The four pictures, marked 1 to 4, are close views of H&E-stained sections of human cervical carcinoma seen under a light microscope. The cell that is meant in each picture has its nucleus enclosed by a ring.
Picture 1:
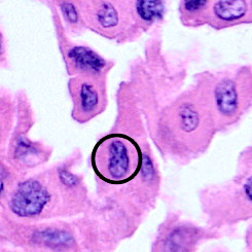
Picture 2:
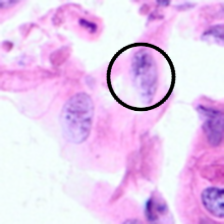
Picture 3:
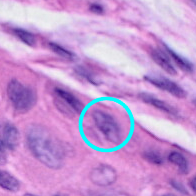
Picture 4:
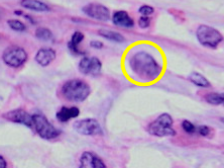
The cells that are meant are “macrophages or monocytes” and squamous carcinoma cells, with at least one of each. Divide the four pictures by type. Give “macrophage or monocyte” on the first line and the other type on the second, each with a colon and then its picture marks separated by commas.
macrophage or monocyte: 4
squamous carcinoma cell: 1, 2, 3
